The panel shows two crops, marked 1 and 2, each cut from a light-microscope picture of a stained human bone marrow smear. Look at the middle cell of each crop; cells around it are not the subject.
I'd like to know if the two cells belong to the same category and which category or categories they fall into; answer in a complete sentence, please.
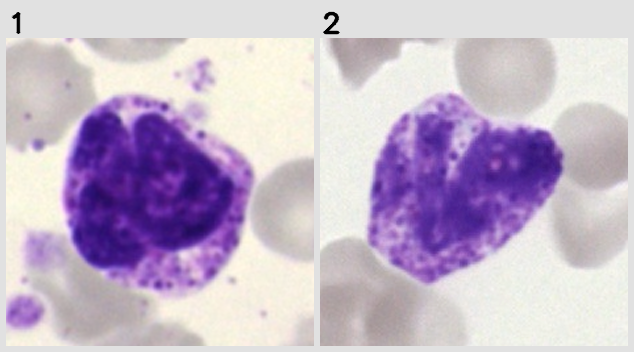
Yes, it is basophils that sit at the centre of both crops.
